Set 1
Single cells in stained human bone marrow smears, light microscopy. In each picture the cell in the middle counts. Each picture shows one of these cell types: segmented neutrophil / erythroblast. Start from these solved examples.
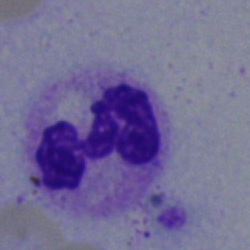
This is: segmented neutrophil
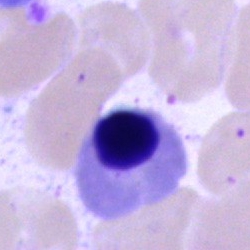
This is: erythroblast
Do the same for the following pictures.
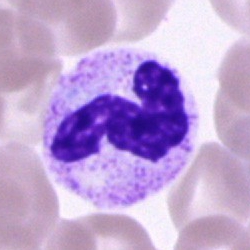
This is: segmented neutrophil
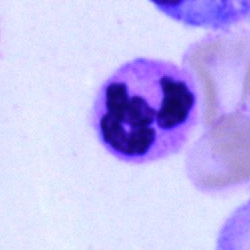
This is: segmented neutrophil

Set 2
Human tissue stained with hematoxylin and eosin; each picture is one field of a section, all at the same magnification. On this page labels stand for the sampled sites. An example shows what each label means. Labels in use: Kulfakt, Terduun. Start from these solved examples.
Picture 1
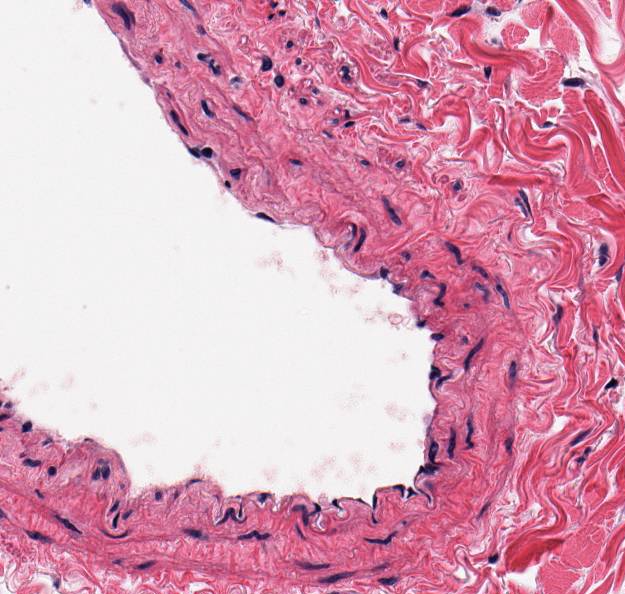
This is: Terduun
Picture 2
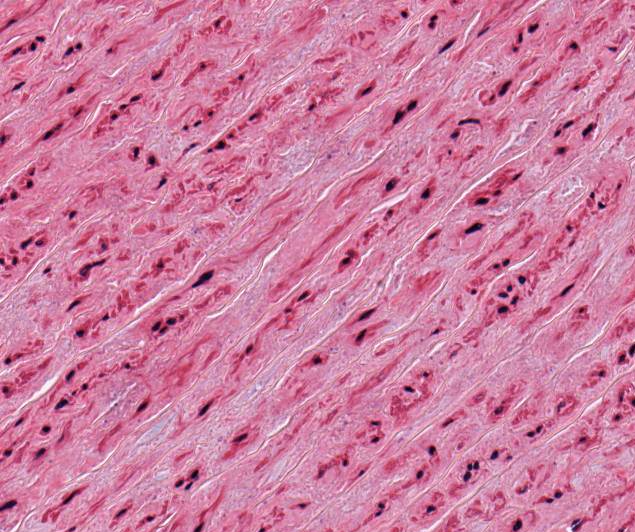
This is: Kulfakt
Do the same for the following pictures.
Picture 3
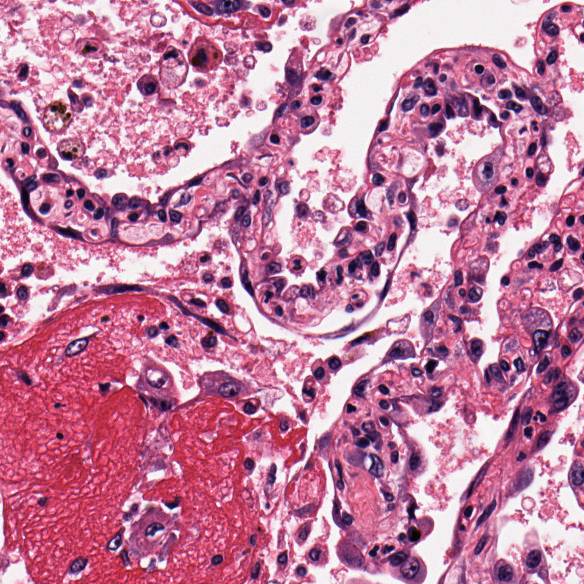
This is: Terduun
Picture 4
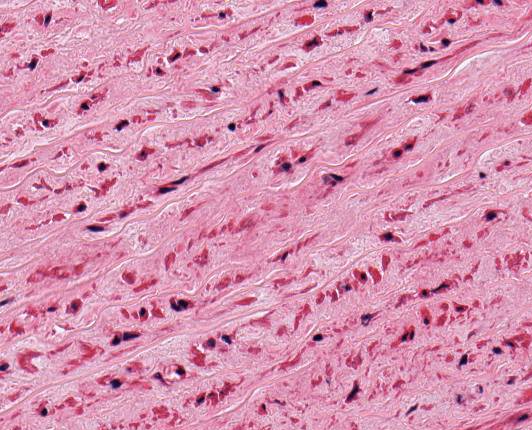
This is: Kulfakt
